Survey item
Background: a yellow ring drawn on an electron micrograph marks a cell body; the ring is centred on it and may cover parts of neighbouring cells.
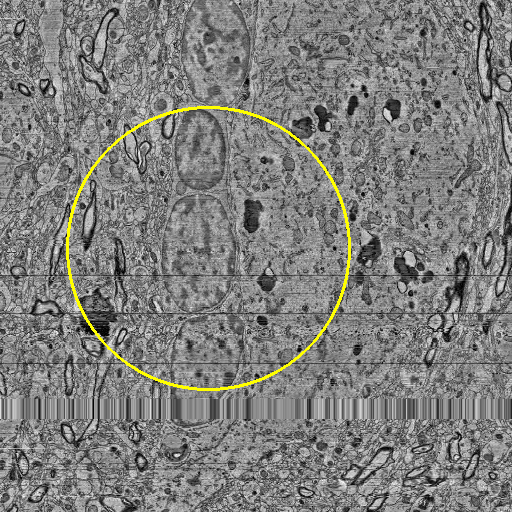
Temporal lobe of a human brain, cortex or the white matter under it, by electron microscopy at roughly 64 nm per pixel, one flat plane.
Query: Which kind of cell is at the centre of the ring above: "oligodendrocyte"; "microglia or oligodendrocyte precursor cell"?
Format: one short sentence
The cell in the middle of the ring is an oligodendrocyte.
